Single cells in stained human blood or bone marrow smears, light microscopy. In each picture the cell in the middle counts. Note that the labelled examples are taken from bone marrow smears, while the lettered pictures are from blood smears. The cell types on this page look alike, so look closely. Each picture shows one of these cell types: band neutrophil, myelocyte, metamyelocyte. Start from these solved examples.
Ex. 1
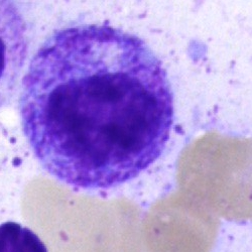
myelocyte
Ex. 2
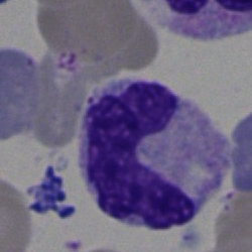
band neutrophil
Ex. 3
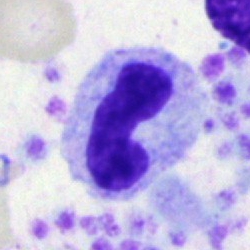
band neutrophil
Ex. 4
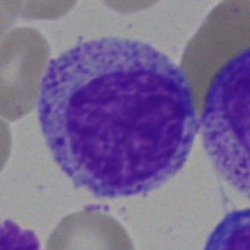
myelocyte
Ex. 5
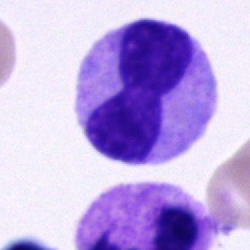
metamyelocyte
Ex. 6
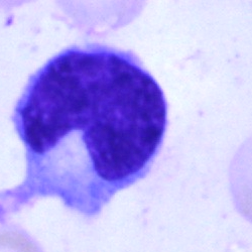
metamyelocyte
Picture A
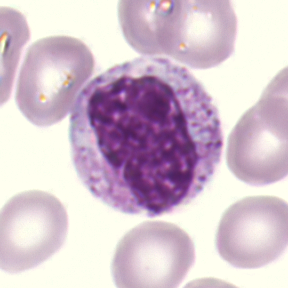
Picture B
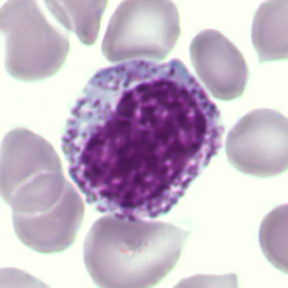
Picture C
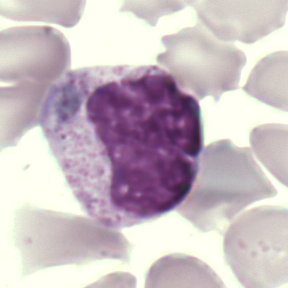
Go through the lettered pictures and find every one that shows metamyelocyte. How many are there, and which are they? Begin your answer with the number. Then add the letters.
2: A, B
